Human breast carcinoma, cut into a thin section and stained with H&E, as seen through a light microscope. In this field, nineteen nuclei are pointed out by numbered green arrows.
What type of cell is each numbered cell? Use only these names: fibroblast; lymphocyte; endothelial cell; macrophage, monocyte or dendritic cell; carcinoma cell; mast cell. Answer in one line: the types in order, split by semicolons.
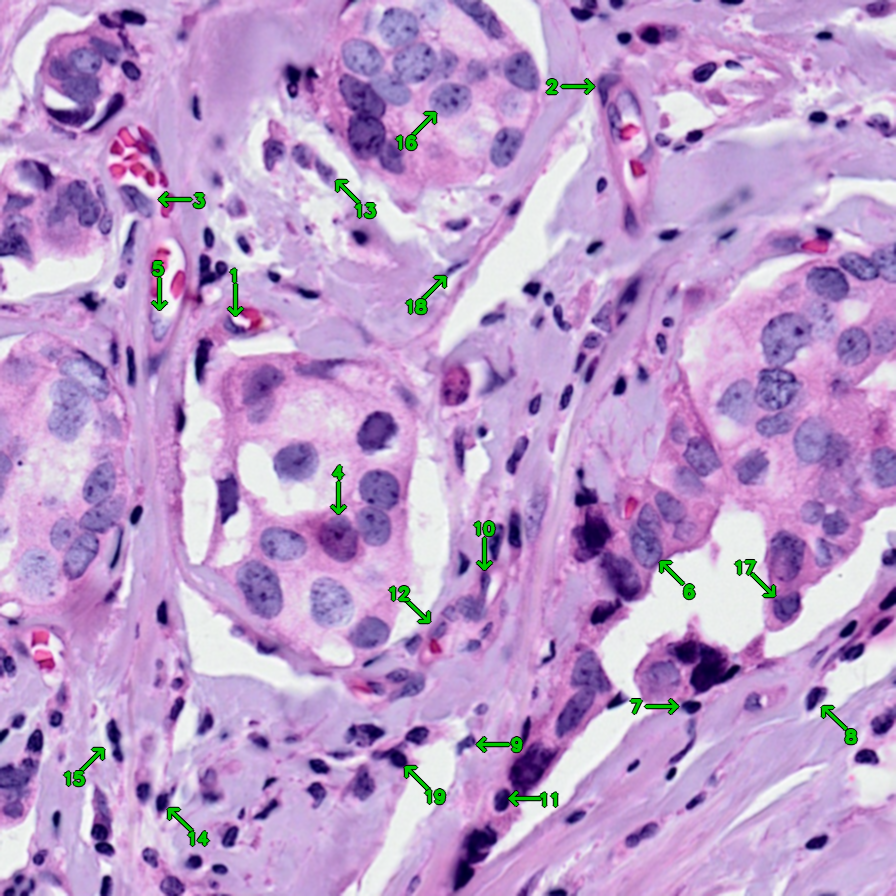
endothelial cell; endothelial cell; endothelial cell; carcinoma cell; endothelial cell; carcinoma cell; lymphocyte; lymphocyte; lymphocyte; endothelial cell; lymphocyte; endothelial cell; fibroblast; lymphocyte; lymphocyte; carcinoma cell; carcinoma cell; fibroblast; lymphocyte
